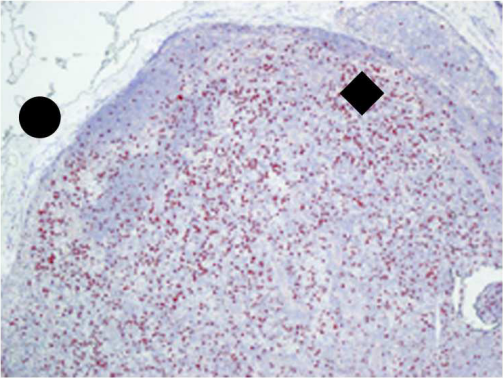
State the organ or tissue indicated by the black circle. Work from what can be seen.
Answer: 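The circle lies outside the node's capsule. The tissue around it consists of large empty polygonal spaces with thin walls. The answer: pericapsular fat.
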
